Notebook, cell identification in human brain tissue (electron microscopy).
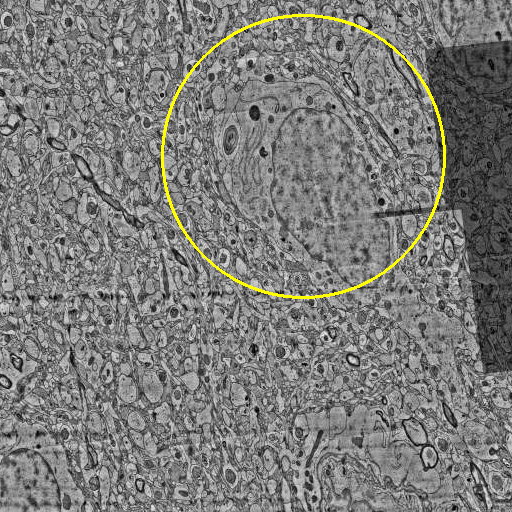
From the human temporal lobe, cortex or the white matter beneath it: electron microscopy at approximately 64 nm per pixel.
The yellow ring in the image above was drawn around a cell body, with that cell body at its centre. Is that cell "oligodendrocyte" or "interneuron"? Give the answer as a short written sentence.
The cell in the ring is an interneuron.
